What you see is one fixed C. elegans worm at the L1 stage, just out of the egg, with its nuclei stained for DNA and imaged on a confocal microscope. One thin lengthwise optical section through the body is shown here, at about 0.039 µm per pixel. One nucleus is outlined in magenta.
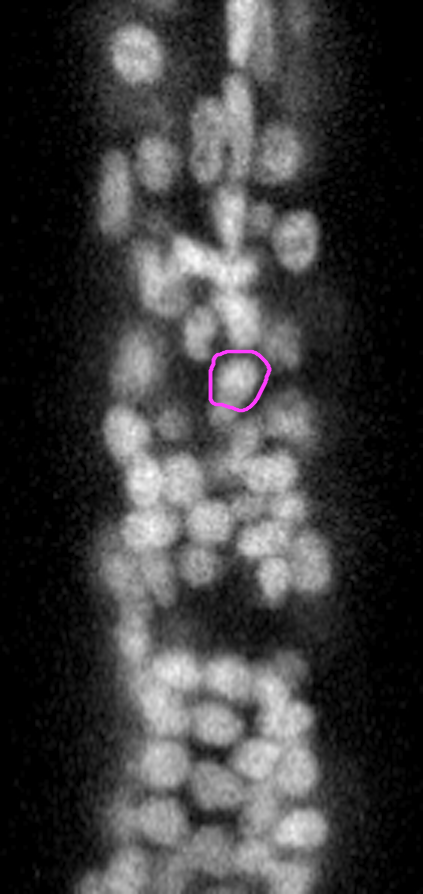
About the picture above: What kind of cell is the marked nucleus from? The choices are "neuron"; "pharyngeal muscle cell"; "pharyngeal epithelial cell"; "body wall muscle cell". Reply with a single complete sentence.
The cell with the marked nucleus is a neuron.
